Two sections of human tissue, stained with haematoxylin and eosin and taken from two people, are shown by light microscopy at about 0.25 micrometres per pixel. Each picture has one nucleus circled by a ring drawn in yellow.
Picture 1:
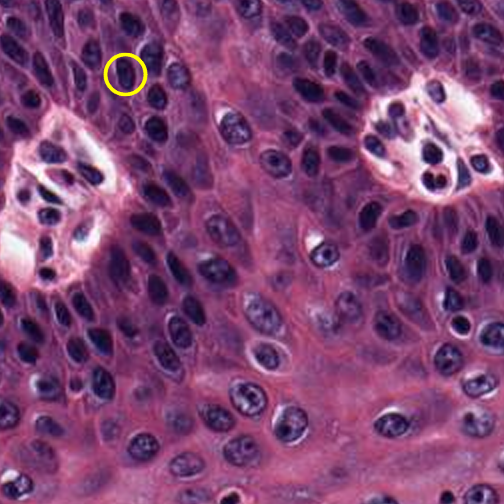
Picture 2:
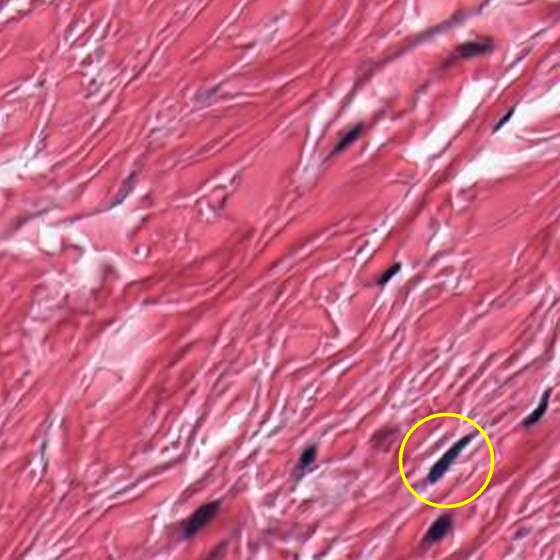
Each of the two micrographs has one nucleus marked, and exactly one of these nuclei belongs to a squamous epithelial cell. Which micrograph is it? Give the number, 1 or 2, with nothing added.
1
